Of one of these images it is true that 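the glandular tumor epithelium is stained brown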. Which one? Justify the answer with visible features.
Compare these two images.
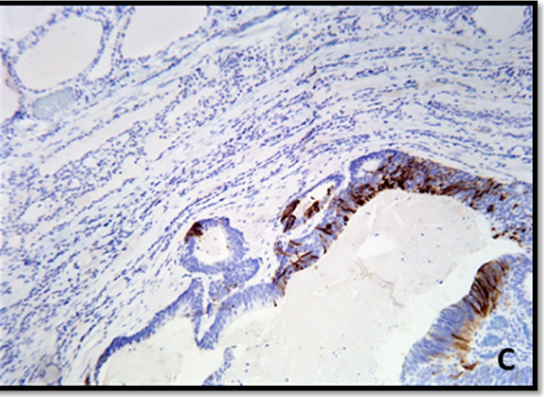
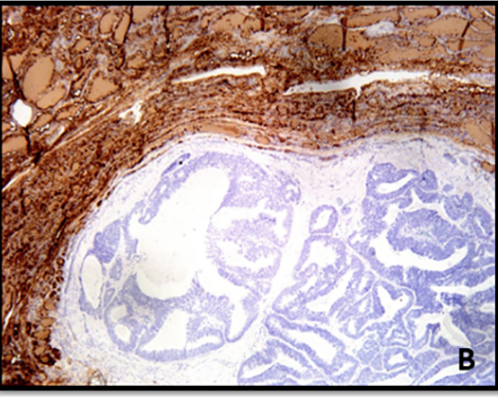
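The first image. First image: parts of the columnar epithelium lining the large gland are brown, while the follicles above are blue. Second image: the glandular nest is entirely blue while the surrounding follicles and stroma are brown.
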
